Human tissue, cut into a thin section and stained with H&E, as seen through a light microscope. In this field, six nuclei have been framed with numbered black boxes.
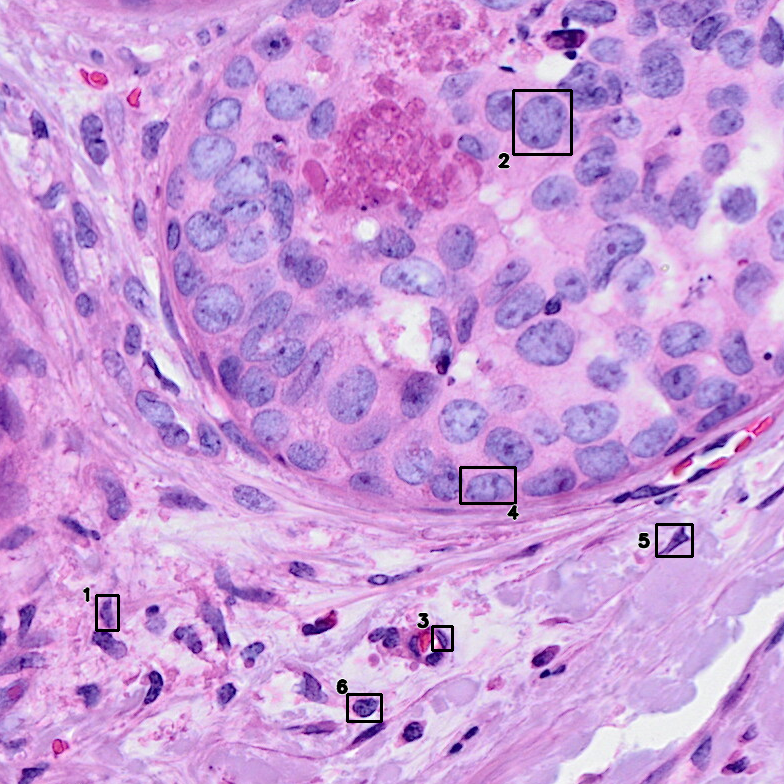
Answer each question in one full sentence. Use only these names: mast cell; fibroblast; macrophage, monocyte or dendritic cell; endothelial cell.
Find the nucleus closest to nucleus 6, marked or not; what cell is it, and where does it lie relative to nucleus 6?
The closest nucleus belongs to a fibroblast and sits below nucleus 6.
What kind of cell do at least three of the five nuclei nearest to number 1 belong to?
Macrophages, monocytes or dendritic cells make up most of the five nuclei closest to number 1.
